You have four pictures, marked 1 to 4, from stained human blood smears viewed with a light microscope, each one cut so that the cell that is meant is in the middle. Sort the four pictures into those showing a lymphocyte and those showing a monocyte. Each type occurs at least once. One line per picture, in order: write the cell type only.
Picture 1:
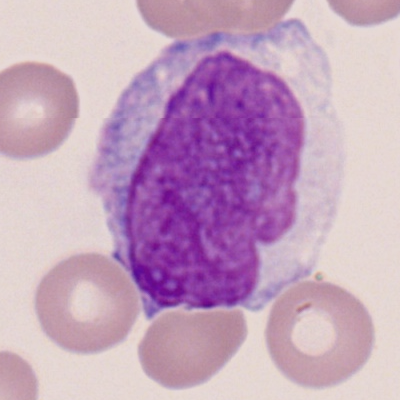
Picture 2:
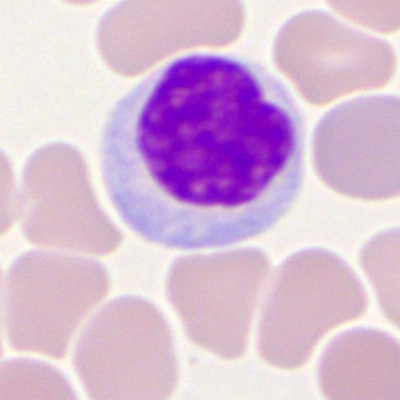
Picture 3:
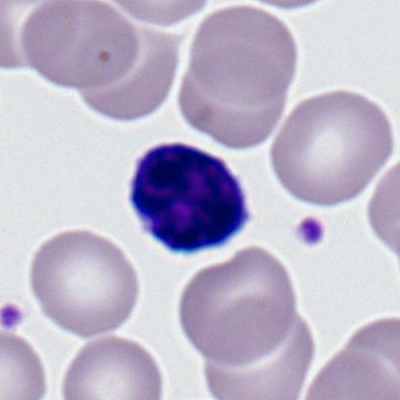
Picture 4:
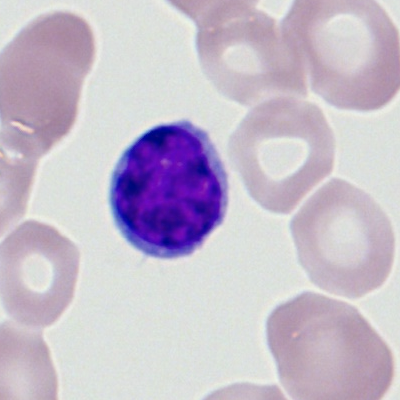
monocyte
lymphocyte
lymphocyte
lymphocyte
